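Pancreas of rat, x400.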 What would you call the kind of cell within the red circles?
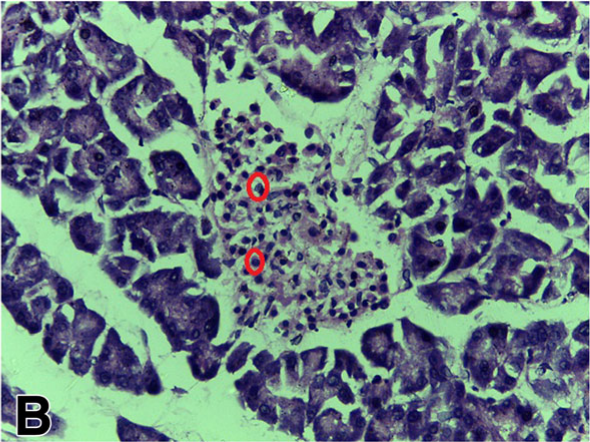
islet cells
